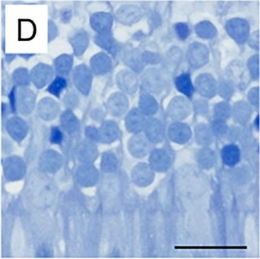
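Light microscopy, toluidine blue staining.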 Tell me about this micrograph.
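A semithin section through the outer nuclear layer of photoreceptor cells, stained in shades of blue. Small round nuclei are packed closely in several tiers, most with even mid-blue staining and a few darker ones, each surrounded by a thin rim of pale cytoplasm. Toward the bottom the nuclei give way to pale, slender, parallel segments running vertically.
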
